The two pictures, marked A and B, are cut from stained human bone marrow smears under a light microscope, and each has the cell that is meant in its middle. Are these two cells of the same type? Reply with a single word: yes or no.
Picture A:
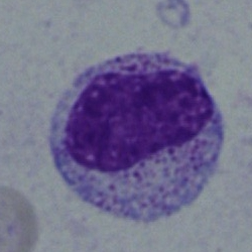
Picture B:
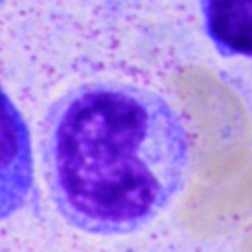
yes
